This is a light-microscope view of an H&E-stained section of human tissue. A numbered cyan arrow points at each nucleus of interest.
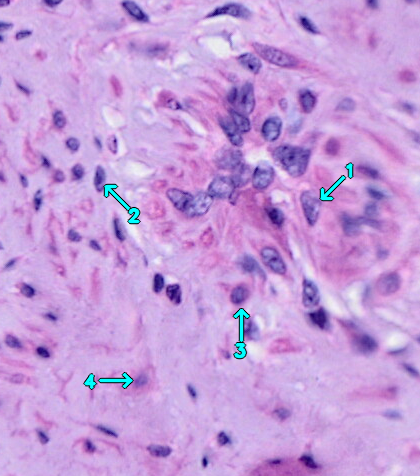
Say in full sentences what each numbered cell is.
Cell 1 is an endothelial cell. Cell 2 is a fibroblast. Cells 3 and 4 are smooth muscle cells.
